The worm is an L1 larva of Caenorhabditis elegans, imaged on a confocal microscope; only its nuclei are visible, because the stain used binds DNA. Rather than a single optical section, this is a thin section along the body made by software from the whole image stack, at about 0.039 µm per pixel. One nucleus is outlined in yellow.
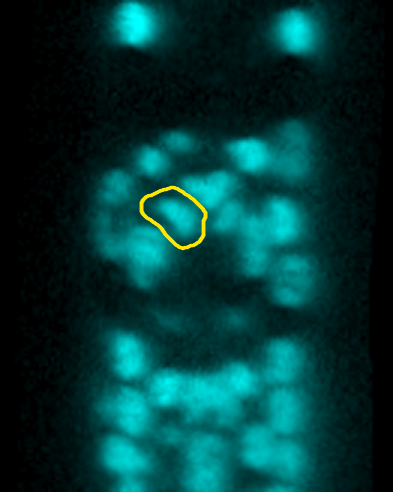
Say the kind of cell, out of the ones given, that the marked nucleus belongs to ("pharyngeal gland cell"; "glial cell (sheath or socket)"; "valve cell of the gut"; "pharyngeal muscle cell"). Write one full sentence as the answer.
It is the nucleus of a pharyngeal gland cell.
